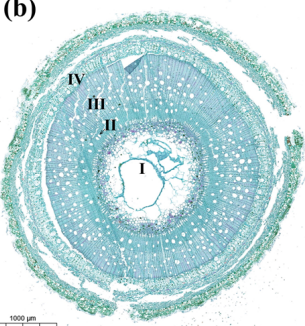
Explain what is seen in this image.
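This is a transverse section of a woody shoot stained blue-green. In the centre lies the pith, a region of loose, thin-walled parenchyma with a large torn cavity. Around it runs a broad ring of secondary xylem with many large, round, open vessels arranged in radial files among denser fibres, crossed by narrow rays that run outward. Outside the wood lies a narrow band of phloem, then cortex and the outer bark layers, which are partly split away from the stem and form a loose outer ring at the edge of the section.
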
